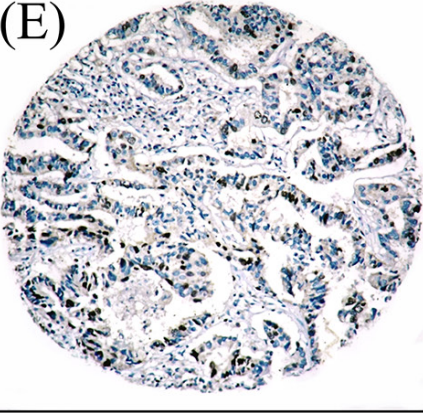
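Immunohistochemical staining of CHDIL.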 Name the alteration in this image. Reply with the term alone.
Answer: Adenocarcinoma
